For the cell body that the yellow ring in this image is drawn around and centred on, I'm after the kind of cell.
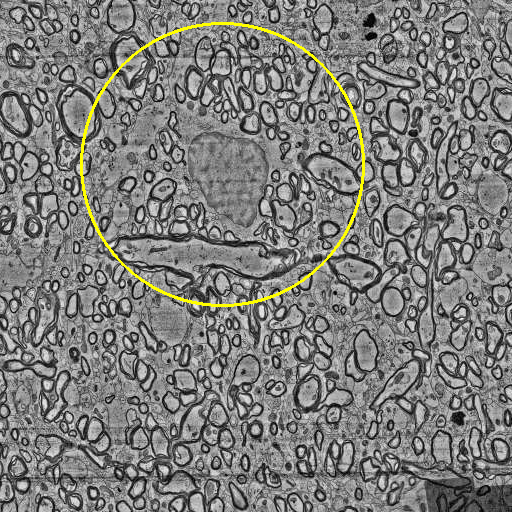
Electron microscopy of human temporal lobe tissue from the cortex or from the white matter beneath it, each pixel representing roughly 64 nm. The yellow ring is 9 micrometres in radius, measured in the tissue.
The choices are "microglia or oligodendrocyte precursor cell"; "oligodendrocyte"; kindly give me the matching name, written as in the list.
oligodendrocyte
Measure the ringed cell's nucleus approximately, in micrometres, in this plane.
The nucleus is approximately 6 micrometers long by 5 micrometers wide in this plane.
